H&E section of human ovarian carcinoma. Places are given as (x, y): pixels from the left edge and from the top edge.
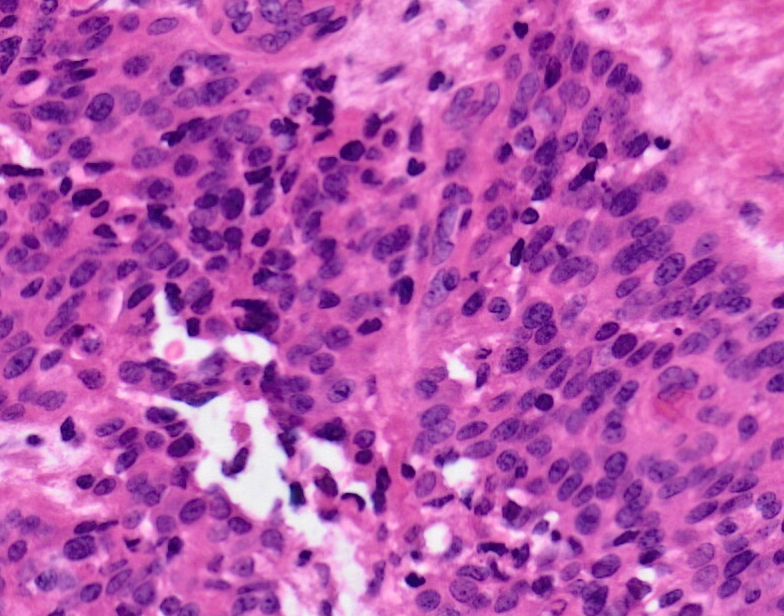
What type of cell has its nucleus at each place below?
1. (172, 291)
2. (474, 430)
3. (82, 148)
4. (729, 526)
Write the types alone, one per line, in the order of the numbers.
carcinoma cell
carcinoma cell
carcinoma cell
macrophage or monocyte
